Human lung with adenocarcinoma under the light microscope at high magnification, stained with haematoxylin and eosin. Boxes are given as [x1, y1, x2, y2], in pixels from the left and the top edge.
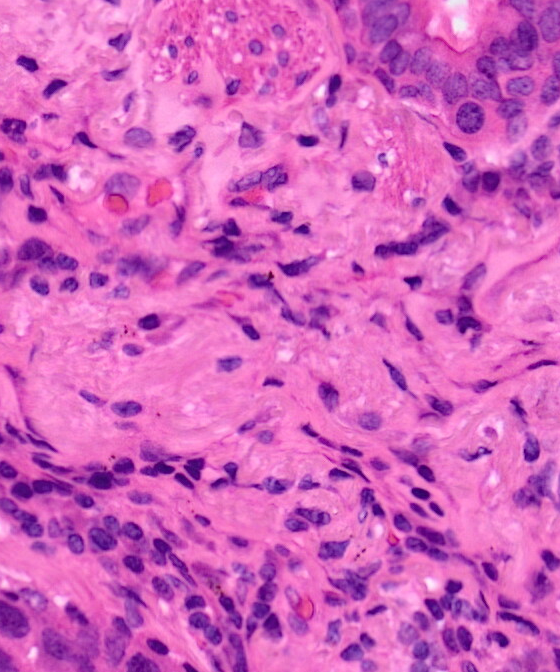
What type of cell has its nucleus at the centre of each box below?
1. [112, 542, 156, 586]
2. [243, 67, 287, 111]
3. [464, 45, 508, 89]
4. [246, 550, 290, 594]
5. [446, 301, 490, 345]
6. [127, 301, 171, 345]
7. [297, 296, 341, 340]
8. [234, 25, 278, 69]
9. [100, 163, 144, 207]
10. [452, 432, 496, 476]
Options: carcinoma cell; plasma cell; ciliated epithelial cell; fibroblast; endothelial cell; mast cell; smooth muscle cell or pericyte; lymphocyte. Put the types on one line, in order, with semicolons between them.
plasma cell; smooth muscle cell or pericyte; ciliated epithelial cell; lymphocyte; plasma cell; plasma cell; plasma cell; smooth muscle cell or pericyte; endothelial cell; fibroblast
